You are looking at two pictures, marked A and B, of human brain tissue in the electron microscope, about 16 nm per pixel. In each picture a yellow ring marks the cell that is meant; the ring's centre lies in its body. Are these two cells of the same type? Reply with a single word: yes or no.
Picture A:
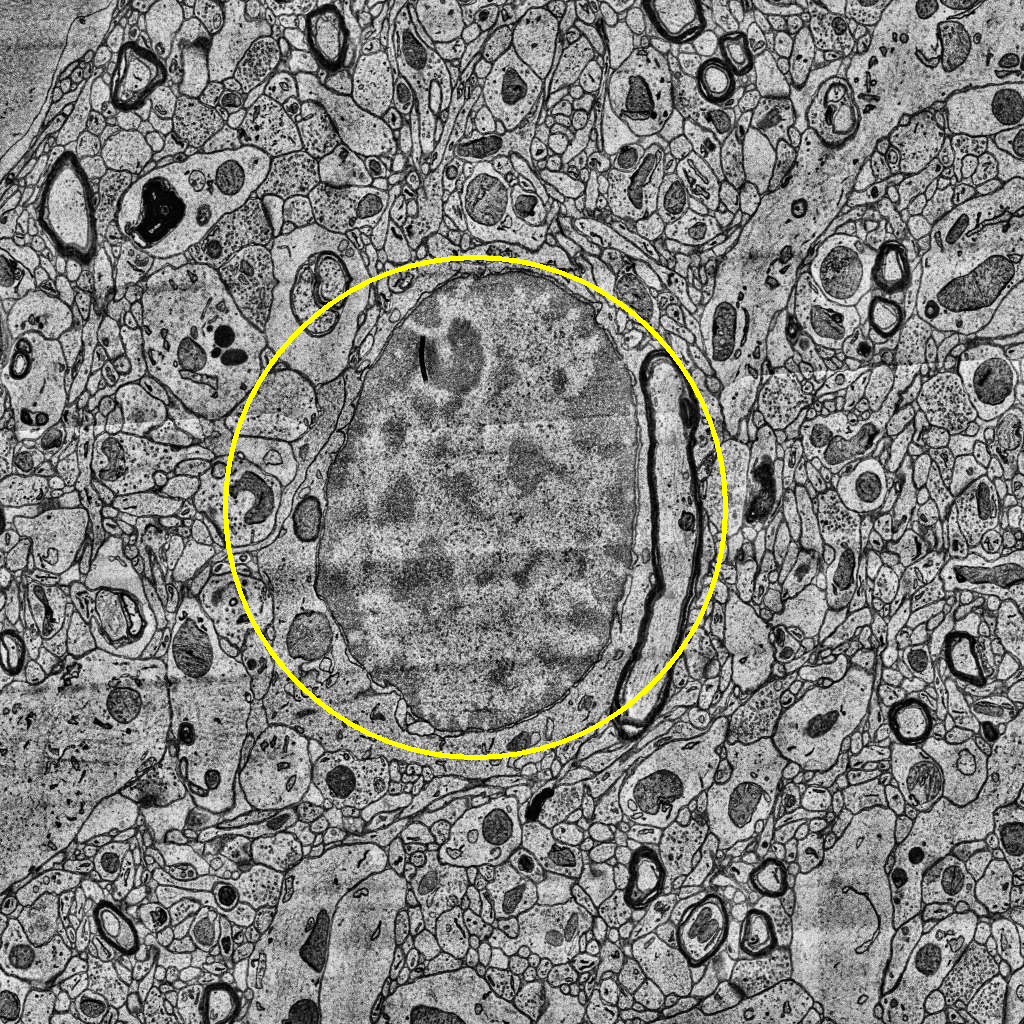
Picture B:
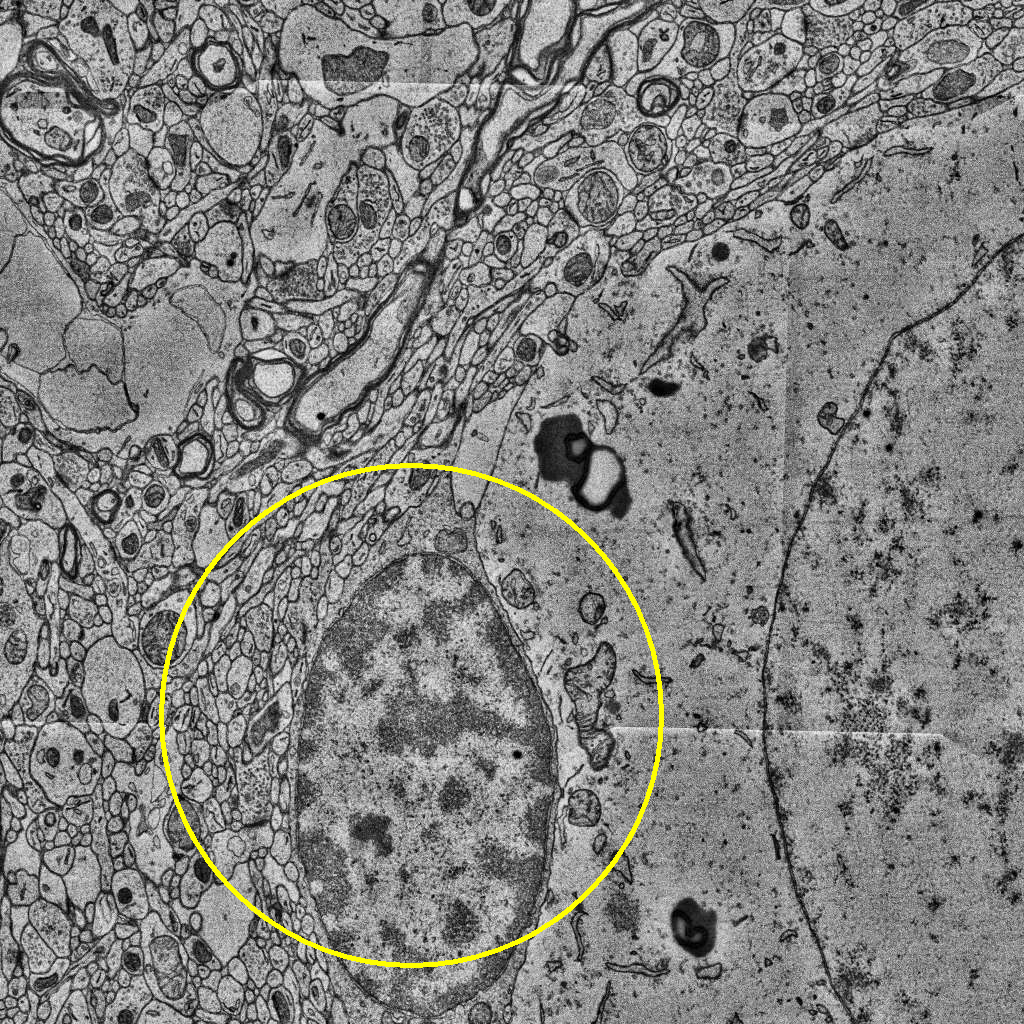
yes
